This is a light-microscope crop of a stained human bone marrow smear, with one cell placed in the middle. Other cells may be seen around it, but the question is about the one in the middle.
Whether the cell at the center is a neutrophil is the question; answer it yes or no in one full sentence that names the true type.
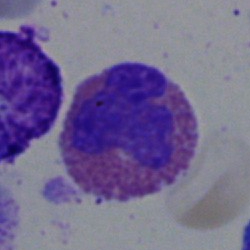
No, the cell sitting in the middle is an eosinophil, and it is not a neutrophil.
